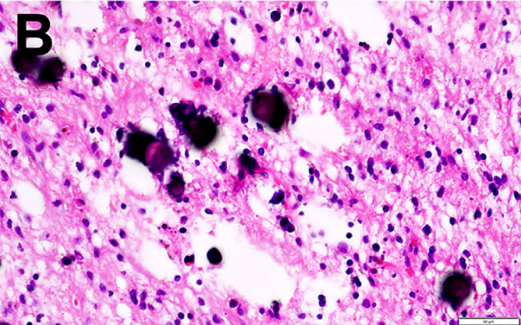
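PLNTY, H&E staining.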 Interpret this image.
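Scattered through it are several dense, dark purple-black, rounded lumps much larger than any nucleus; these are calcifications. Around them the tissue is loosened, with many clear empty spaces of varying size.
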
